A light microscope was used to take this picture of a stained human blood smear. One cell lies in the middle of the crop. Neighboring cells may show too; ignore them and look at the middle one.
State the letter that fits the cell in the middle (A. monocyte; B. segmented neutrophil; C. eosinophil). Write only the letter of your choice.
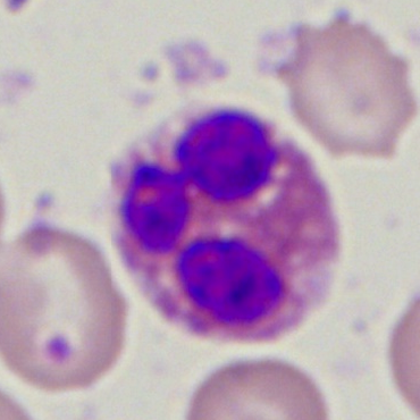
C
